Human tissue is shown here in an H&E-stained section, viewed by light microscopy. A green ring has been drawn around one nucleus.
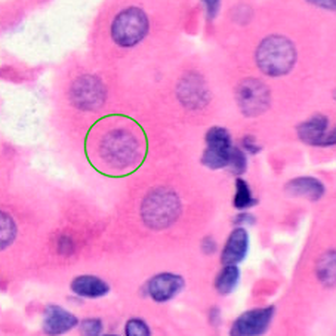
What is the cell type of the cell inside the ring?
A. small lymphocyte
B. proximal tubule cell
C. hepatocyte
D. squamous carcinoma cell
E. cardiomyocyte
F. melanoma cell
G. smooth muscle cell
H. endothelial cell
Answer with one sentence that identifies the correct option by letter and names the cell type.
Of the options offered, B is correct, as the cell inside the ring is a proximal tubule cell.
